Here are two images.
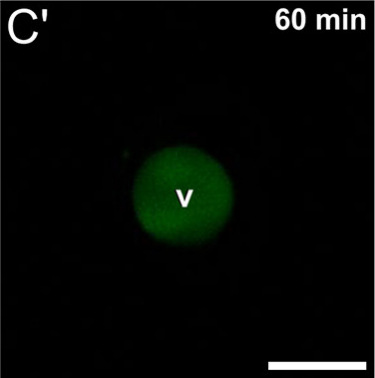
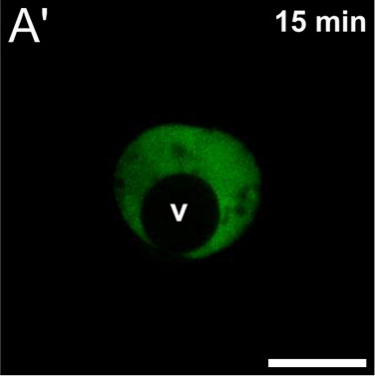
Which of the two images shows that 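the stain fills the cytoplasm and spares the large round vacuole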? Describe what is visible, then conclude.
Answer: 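First image: only one round body glows green, the rest of the cell is dark. Second image: green fills the cell body while the large round vacuole stays dark. So: the second image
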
